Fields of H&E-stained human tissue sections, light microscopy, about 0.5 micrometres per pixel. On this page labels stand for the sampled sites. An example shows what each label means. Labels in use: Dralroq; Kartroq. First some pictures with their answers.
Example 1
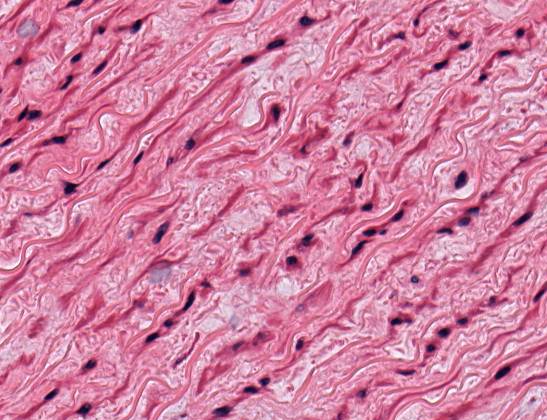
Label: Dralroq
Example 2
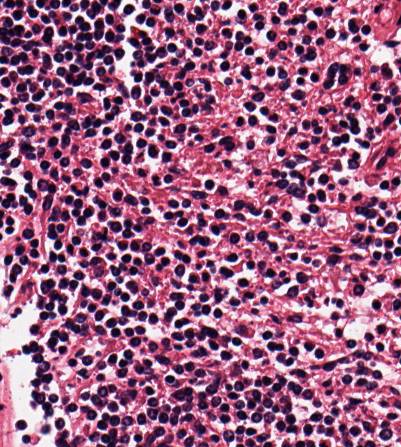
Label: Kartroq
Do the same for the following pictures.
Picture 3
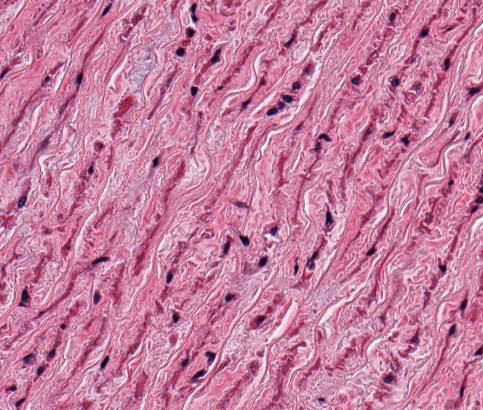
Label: Dralroq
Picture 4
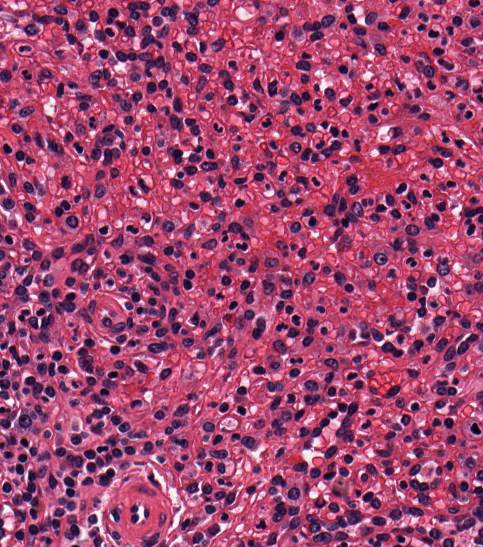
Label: Kartroq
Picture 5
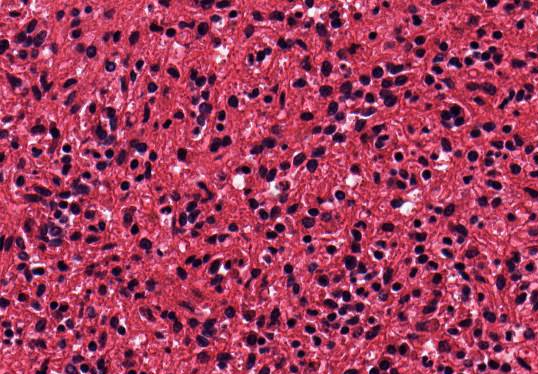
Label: Kartroq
